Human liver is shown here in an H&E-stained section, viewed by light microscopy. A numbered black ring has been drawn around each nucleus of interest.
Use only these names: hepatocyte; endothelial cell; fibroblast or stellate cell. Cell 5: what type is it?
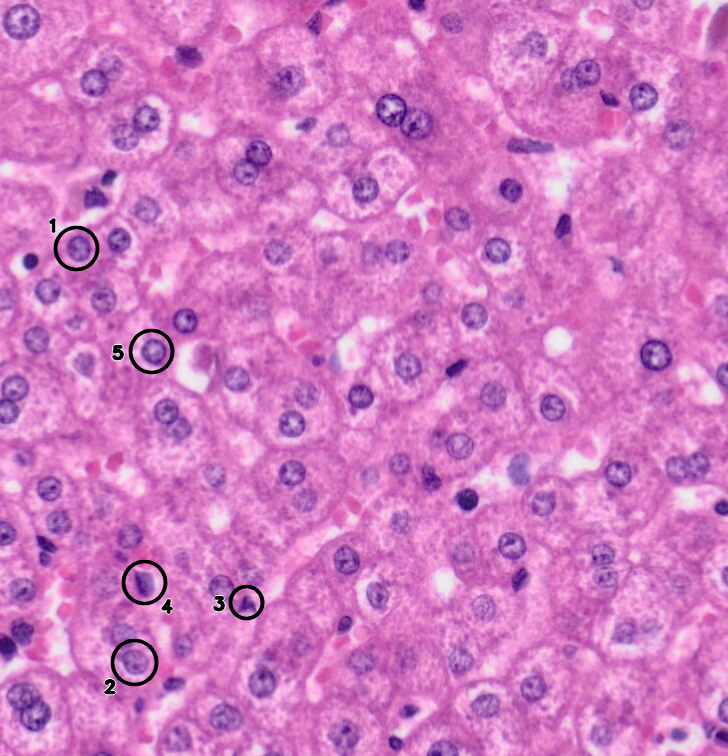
hepatocyte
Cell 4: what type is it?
endothelial cell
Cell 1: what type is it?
hepatocyte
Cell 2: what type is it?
hepatocyte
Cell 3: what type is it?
endothelial cell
